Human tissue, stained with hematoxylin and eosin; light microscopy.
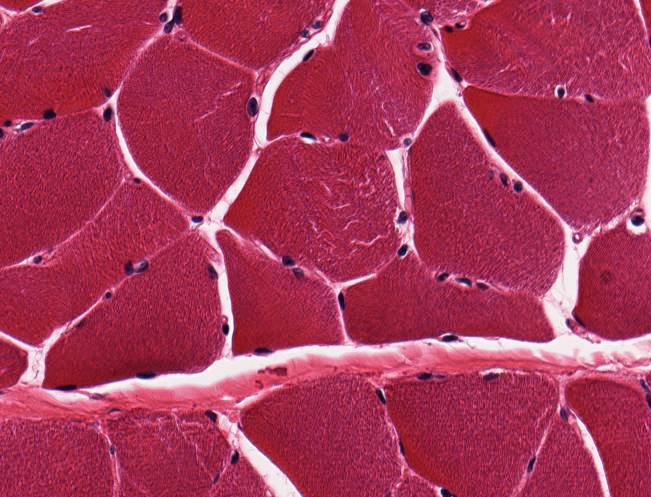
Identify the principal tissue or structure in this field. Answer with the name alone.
skeletal muscle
